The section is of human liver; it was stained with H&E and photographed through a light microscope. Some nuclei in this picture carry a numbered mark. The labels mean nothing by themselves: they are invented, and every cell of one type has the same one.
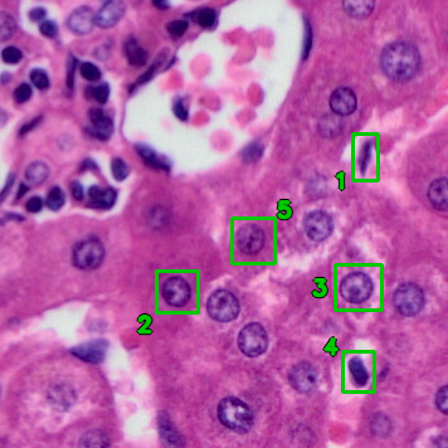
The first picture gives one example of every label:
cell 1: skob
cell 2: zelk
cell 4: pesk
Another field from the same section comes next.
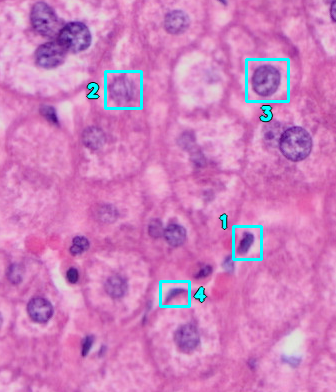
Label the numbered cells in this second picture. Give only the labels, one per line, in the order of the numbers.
pesk
zelk
zelk
skob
